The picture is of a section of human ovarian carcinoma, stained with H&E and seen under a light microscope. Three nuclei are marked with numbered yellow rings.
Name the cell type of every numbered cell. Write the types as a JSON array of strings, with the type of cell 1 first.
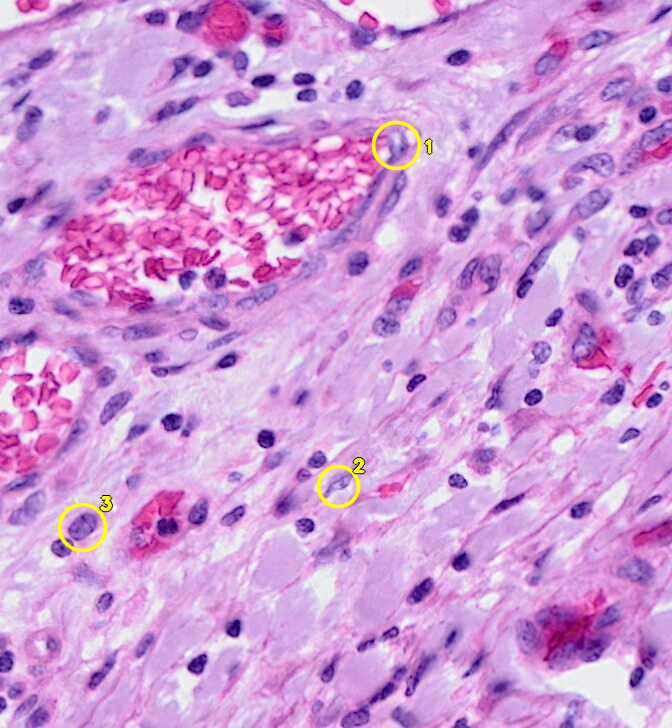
["endothelial cell", "fibroblast", "macrophage or monocyte"]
